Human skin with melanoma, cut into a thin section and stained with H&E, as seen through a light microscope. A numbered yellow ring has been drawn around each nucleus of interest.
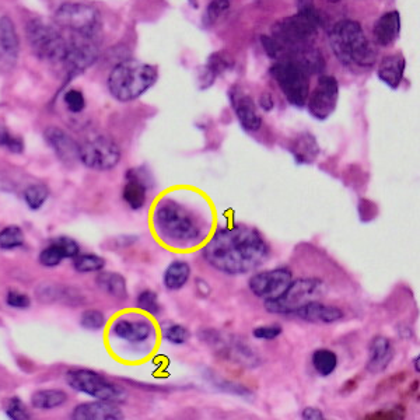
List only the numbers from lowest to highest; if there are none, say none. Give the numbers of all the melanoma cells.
1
